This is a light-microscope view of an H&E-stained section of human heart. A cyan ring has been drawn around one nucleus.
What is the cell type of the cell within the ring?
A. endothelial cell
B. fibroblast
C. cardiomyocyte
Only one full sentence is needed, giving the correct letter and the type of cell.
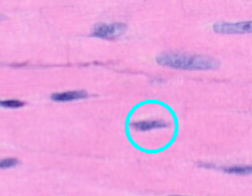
Option A names it right: the cell within the ring is an endothelial cell.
